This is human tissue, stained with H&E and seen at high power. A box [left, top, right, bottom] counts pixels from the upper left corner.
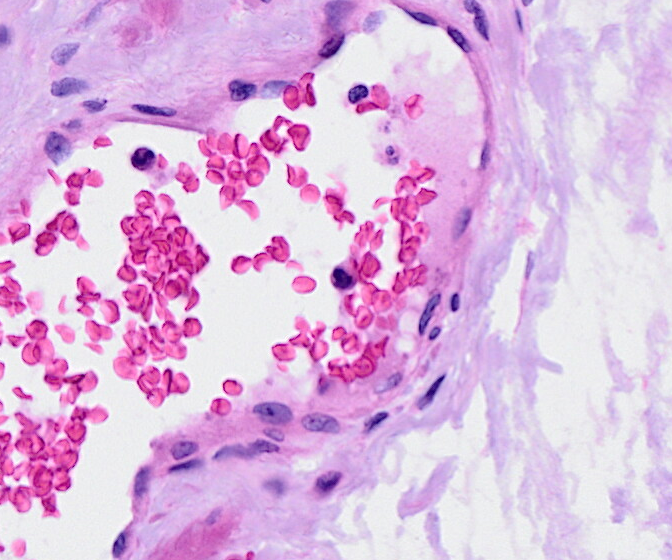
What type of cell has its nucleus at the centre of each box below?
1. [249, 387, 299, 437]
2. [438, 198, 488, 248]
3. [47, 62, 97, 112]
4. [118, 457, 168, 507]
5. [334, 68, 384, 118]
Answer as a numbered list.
1. endothelial cell
2. endothelial cell
3. fibroblast
4. endothelial cell
5. lymphocyte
